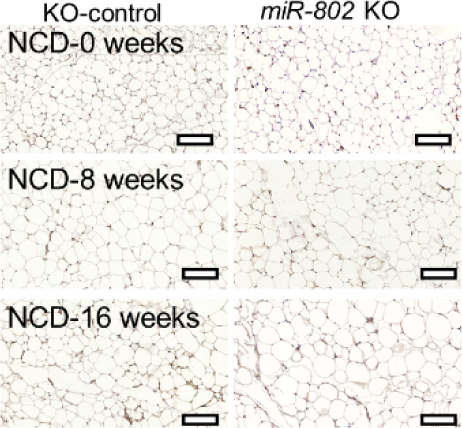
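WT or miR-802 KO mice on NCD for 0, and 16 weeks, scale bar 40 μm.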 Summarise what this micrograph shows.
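Six small fields show a meshwork of large, rounded to polygonal empty-looking spaces bounded by very thin pale walls, packed closely side by side. These are adipocytes of white fat, each holding a single large clear lipid space that pushes its rim of cytoplasm into a thin line. Brown stain lies along some of the thin septa between the fat cells and in small clusters at the meeting points of several cells, while the cell interiors stay unstained. The fat cells differ somewhat in size from field to field, some fields showing larger cells than others.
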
